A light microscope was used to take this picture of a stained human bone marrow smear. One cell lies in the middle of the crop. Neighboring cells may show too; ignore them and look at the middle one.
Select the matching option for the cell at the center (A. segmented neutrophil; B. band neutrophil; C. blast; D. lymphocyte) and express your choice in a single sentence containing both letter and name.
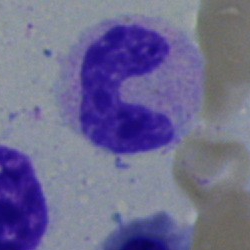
Option B is right in identifying the central cell as a band neutrophil.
